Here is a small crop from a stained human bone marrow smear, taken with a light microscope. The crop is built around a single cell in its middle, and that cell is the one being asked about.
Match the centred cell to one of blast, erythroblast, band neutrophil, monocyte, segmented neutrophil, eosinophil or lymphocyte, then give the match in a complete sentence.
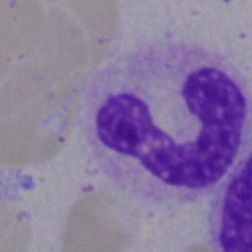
The central element of this crop is a cell, namely a segmented neutrophil.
